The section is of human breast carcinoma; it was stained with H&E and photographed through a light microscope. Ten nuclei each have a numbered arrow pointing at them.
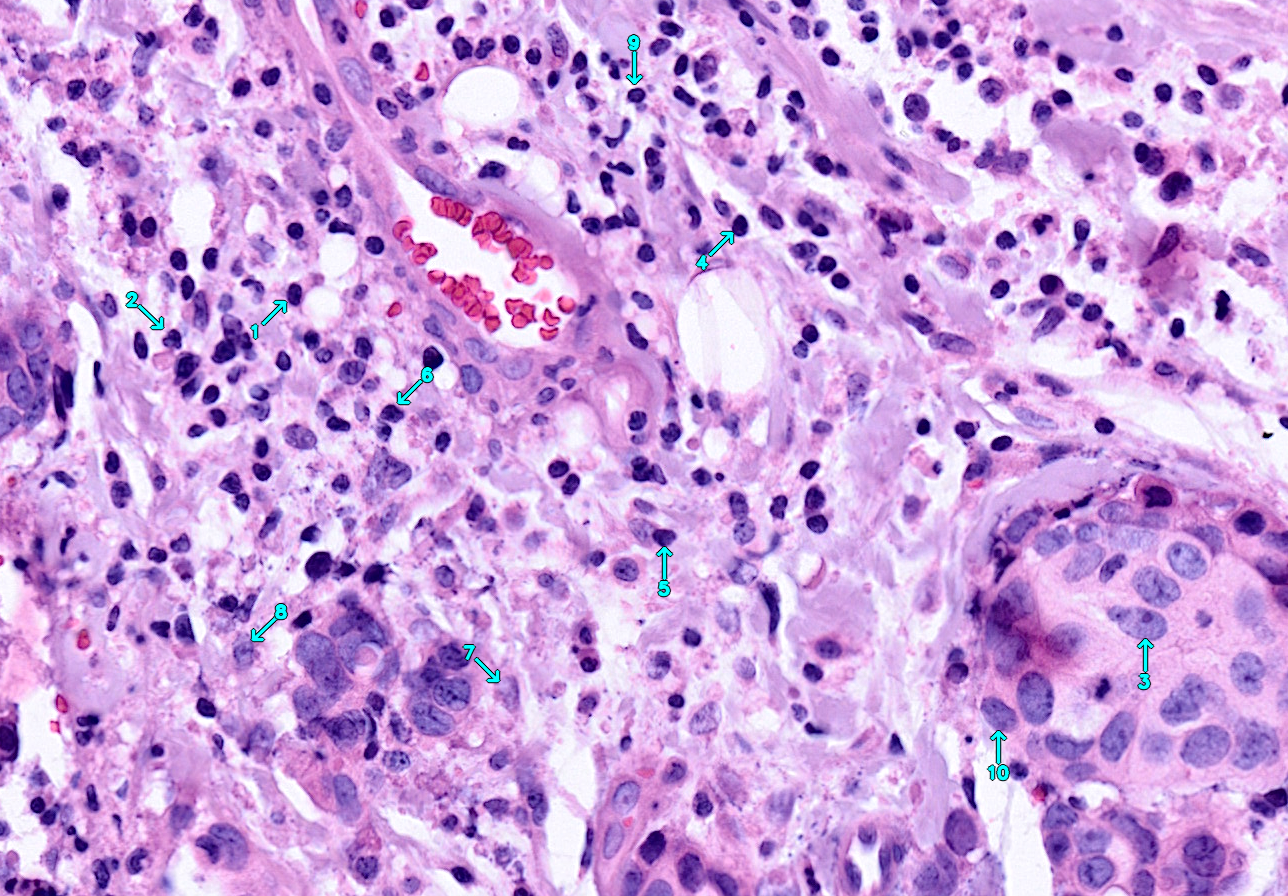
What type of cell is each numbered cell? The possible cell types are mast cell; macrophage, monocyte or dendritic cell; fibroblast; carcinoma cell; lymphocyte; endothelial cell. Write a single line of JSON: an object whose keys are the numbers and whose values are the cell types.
{"1": "lymphocyte", "2": "lymphocyte", "3": "carcinoma cell", "4": "lymphocyte", "5": "lymphocyte", "6": "lymphocyte", "7": "fibroblast", "8": "macrophage, monocyte or dendritic cell", "9": "lymphocyte", "10": "carcinoma cell"}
